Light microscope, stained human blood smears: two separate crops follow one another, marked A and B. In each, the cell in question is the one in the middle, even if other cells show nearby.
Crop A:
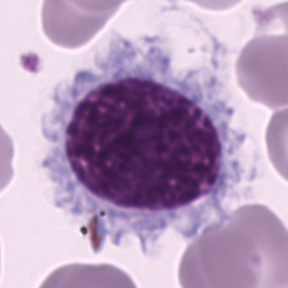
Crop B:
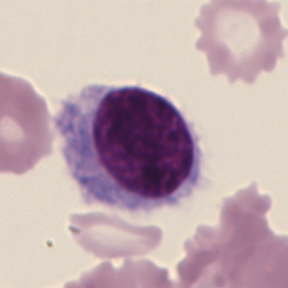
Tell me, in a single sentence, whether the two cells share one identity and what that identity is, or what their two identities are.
Yes, the cells of interest in both crops are hairy cells.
